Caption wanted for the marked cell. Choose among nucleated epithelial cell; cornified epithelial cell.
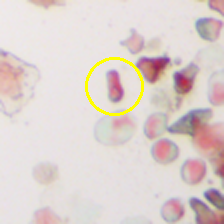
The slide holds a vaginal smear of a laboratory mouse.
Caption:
Ringed in yellow is a nucleated epithelial cell.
